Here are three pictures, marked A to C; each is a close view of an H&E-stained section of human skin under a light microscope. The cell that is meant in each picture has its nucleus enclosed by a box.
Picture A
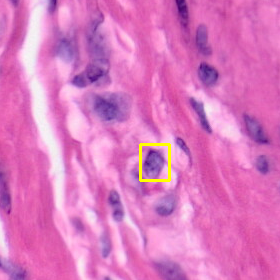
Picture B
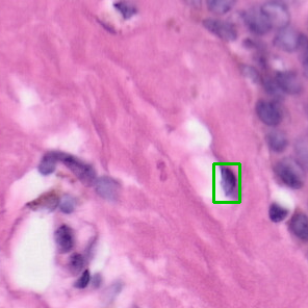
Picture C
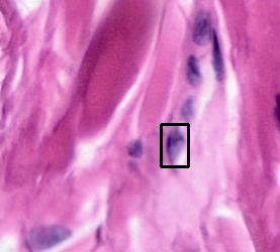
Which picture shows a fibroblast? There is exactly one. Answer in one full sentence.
The cell in picture B is the fibroblast.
